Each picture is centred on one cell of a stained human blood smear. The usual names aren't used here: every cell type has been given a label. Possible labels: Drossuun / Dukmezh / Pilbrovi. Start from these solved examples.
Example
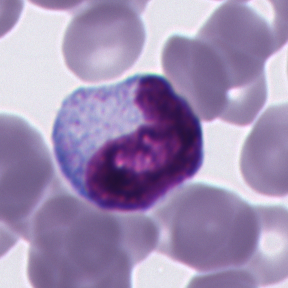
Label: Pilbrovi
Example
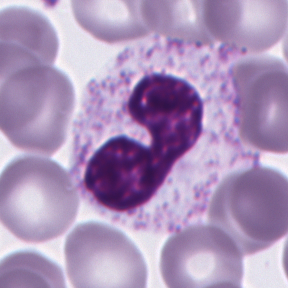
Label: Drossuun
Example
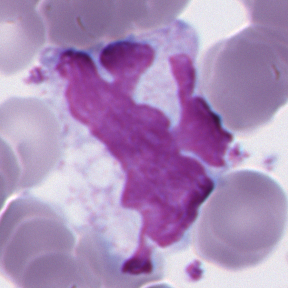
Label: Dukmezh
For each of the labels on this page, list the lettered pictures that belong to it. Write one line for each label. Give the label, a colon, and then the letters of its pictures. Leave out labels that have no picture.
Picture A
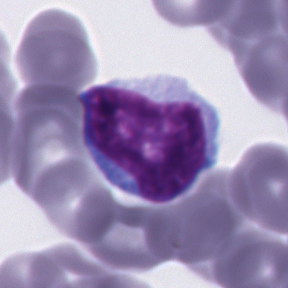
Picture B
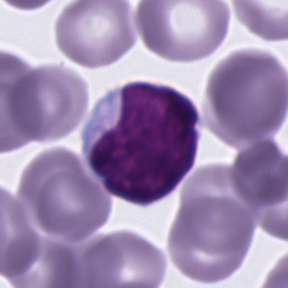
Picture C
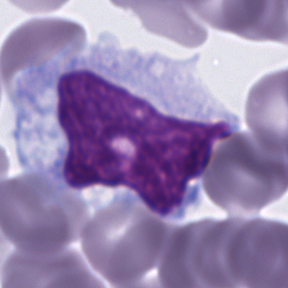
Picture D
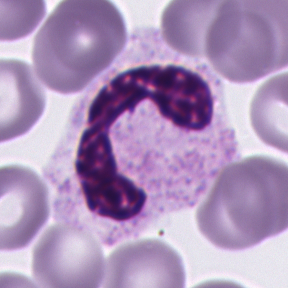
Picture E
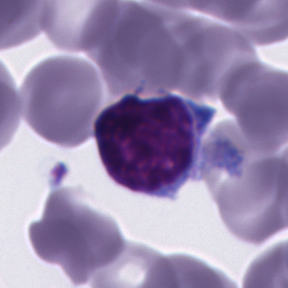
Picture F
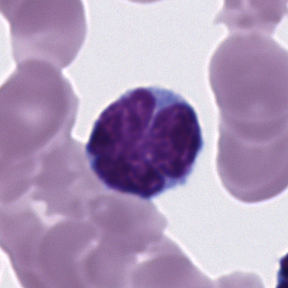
Drossuun: D
Dukmezh: C
Pilbrovi: A, B, E, F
